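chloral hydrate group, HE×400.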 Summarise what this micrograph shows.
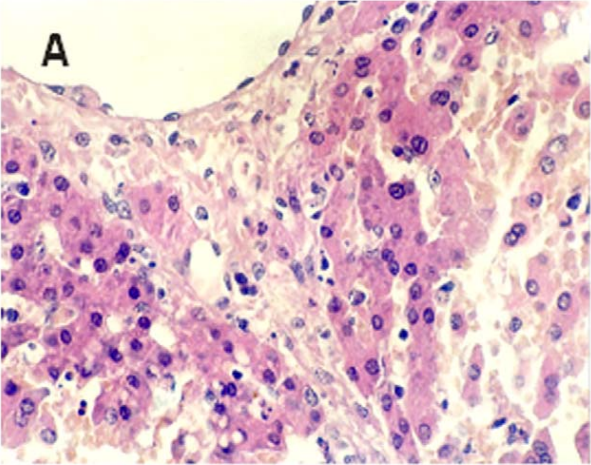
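Liver cells with round, dark-blue nuclei and pink cytoplasm form irregular cords near a large vessel lumen at the top of the field. Some cells have deeply pink, dense cytoplasm while others are paler and frayed, and the spaces between the cords are widened and disordered. Scattered small dark nuclei lie in these spaces. This is the centrilobular part of a liver lobule showing degeneration of the hepatocytes.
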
